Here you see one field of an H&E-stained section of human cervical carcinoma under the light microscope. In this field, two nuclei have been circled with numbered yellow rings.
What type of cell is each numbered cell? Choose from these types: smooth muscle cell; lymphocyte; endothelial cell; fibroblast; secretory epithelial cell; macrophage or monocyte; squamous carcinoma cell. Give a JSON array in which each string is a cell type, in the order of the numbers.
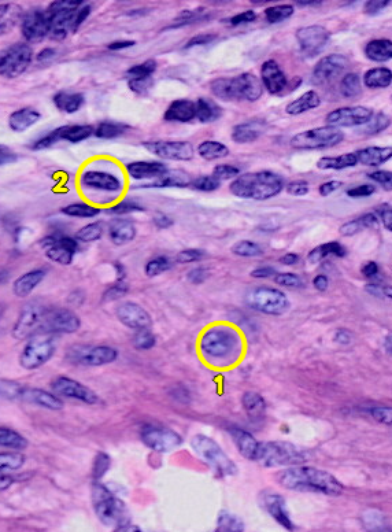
["smooth muscle cell", "lymphocyte"]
